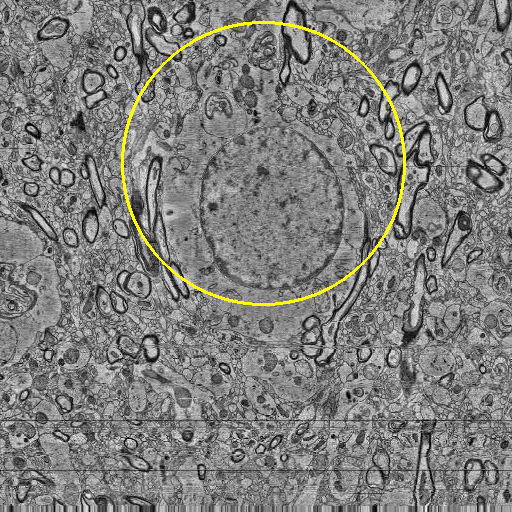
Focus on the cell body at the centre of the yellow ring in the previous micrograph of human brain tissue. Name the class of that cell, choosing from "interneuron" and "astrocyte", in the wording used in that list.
astrocyte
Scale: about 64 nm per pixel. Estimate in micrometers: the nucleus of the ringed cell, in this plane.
The nucleus of the ringed cell is approximately 11 by 9 micrometres in this plane.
